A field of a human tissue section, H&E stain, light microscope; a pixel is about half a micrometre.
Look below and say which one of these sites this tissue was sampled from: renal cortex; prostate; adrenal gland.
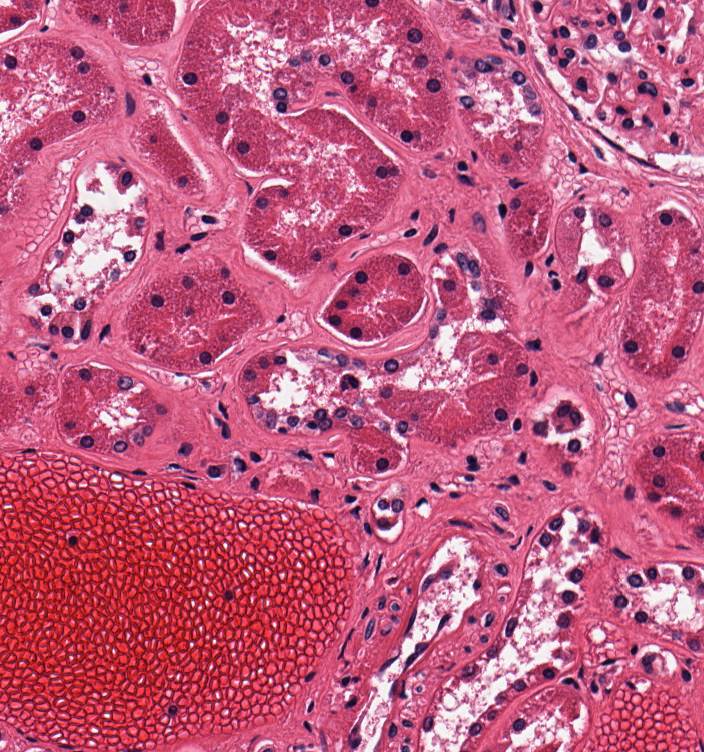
renal cortex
